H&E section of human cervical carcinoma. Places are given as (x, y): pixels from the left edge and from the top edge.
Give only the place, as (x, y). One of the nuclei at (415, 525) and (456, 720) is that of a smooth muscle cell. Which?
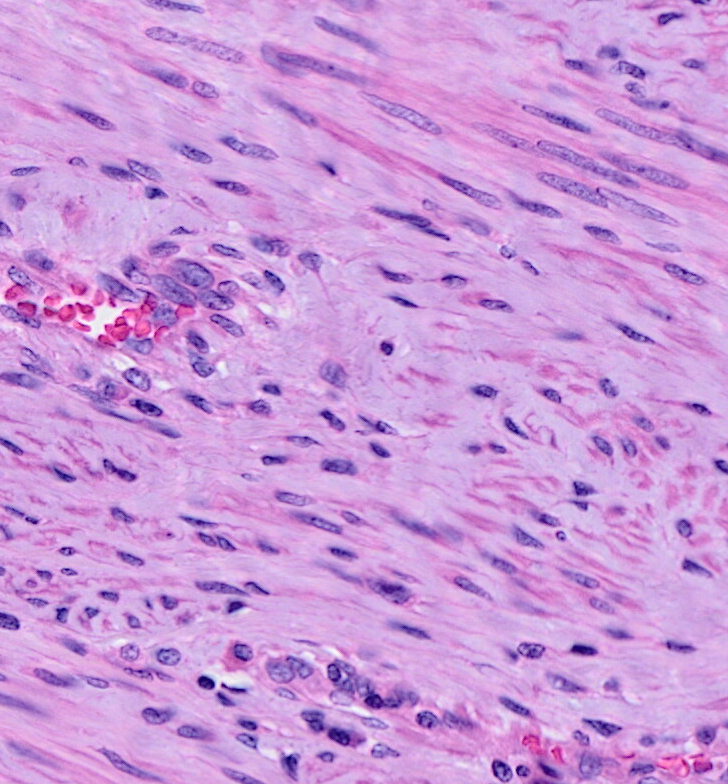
(415, 525)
